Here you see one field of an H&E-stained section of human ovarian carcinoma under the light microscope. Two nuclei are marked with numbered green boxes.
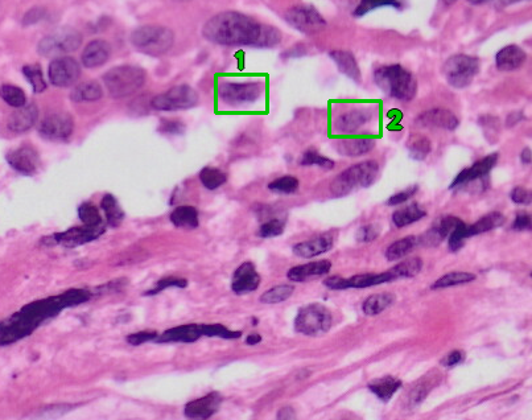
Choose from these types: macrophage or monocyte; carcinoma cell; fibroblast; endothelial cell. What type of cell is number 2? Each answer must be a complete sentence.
The nucleus labeled 2 belongs to a macrophage or monocyte.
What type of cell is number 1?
Identified by the number 1, the cell is a carcinoma cell.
